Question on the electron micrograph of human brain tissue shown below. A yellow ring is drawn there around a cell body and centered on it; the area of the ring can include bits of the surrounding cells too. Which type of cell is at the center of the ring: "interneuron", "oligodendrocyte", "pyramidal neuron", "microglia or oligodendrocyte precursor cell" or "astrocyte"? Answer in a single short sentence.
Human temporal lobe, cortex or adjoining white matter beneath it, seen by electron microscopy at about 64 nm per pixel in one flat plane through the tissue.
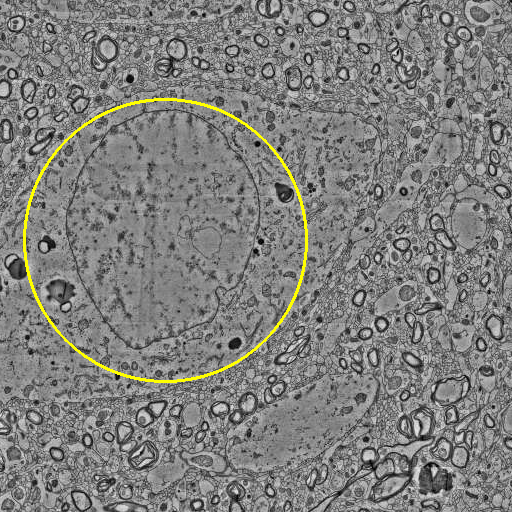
The ring is centered on a pyramidal neuron.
